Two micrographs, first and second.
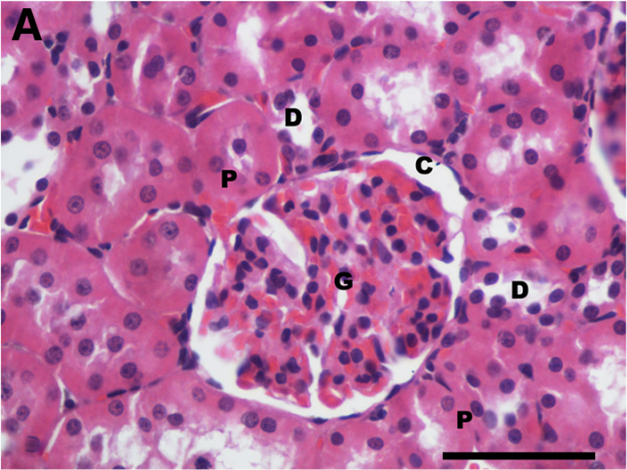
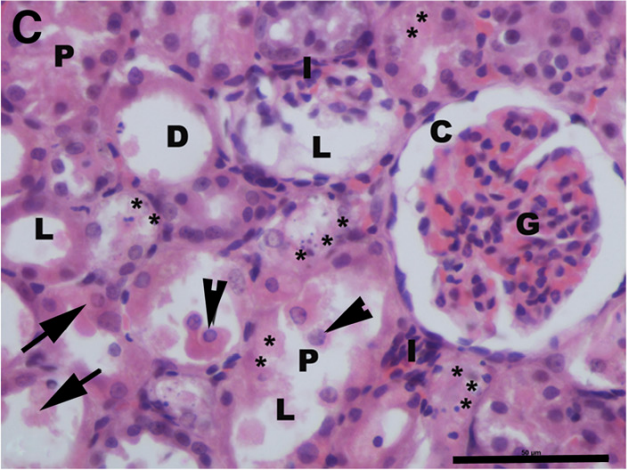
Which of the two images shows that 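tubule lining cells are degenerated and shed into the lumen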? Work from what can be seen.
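Second image: pale vacuolated tubule cells, detached cells and pink casts in widened lumina. First image: tubules lined by intact pink cuboidal cells with narrow lumina. The answer: the second image.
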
